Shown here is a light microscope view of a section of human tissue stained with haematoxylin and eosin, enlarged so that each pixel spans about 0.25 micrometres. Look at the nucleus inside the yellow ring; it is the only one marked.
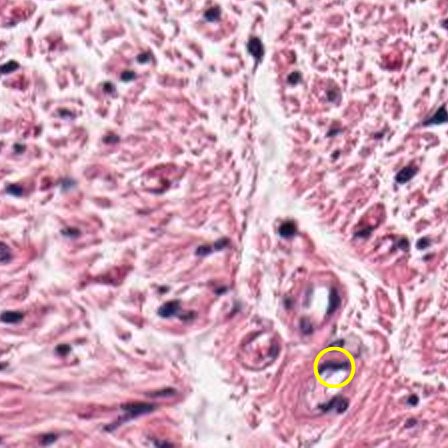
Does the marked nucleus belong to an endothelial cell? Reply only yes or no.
yes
